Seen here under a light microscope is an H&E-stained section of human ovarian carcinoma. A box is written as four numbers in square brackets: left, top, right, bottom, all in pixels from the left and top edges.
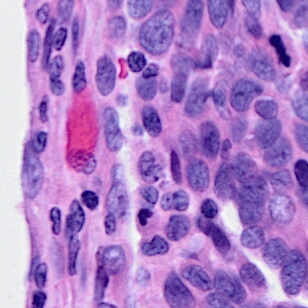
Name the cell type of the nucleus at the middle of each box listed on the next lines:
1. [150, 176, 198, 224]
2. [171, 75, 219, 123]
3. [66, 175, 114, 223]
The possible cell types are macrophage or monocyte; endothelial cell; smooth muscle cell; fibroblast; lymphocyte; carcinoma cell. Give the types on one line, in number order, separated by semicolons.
macrophage or monocyte; carcinoma cell; lymphocyte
